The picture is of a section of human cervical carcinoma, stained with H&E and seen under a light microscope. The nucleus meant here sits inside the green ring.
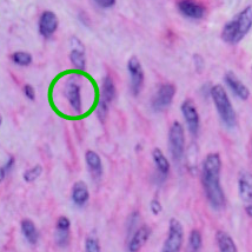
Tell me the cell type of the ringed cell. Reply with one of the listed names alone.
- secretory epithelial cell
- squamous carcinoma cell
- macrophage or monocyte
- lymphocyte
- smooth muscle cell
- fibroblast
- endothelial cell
smooth muscle cell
